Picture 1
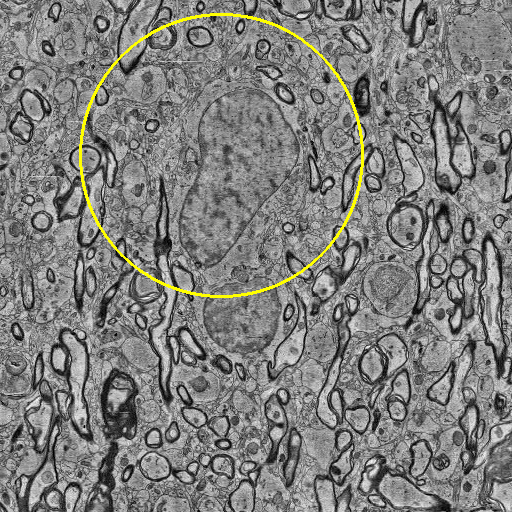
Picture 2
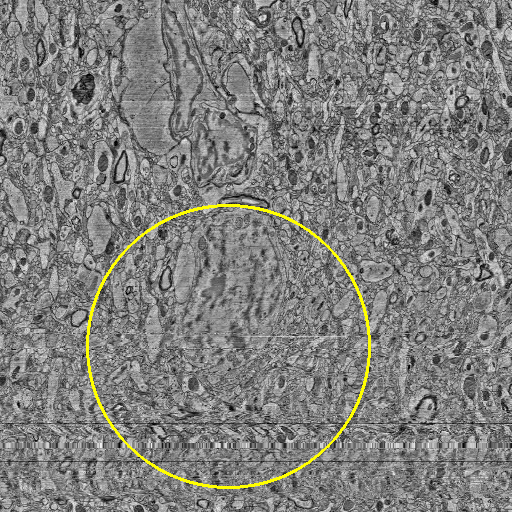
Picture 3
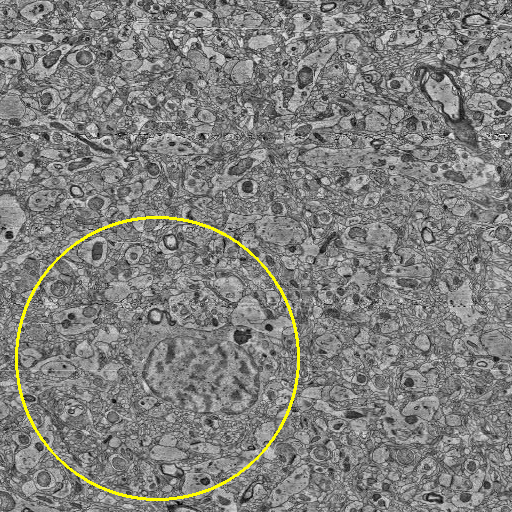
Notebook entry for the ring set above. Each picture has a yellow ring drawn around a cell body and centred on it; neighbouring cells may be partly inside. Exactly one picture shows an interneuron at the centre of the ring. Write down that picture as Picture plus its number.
Picture 2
